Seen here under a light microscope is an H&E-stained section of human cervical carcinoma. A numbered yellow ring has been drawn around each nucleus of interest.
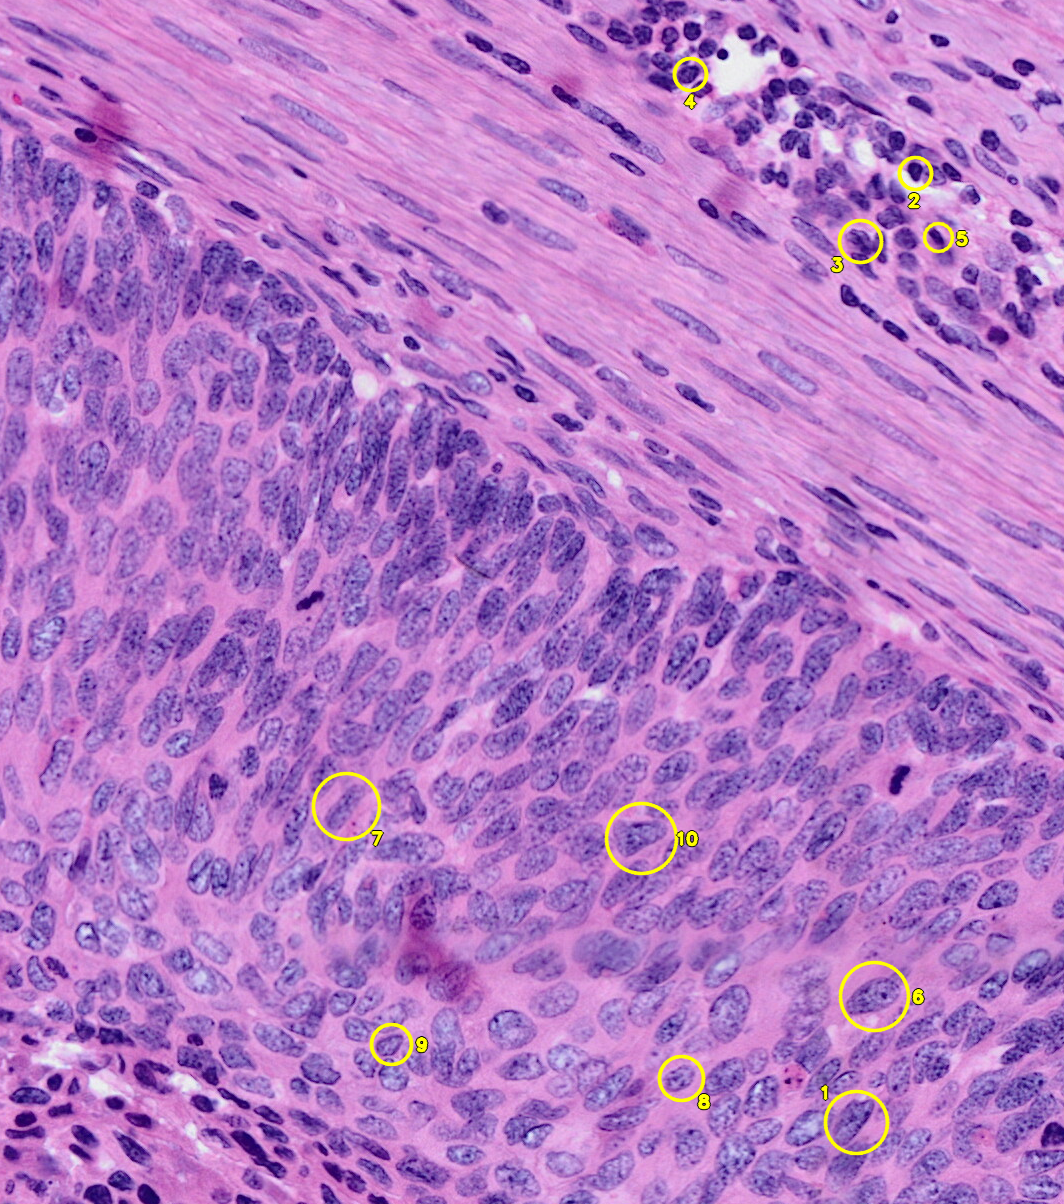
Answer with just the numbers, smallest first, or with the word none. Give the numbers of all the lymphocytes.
2, 3, 4, 5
